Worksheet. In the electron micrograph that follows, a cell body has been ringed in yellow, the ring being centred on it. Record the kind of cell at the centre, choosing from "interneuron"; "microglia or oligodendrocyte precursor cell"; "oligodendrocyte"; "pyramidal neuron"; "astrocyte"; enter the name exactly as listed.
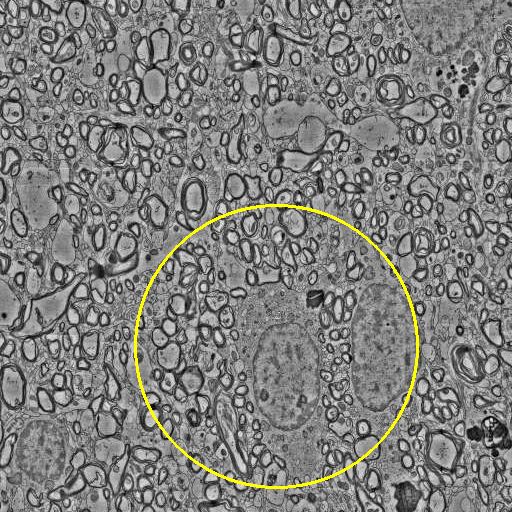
oligodendrocyte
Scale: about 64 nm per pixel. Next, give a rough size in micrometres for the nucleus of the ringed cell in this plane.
Roughly 7 micrometres long and 4 micrometres wide; in this plane the nucleus is clearly longer than it is wide.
